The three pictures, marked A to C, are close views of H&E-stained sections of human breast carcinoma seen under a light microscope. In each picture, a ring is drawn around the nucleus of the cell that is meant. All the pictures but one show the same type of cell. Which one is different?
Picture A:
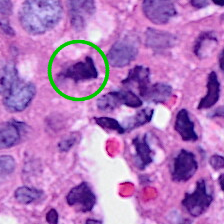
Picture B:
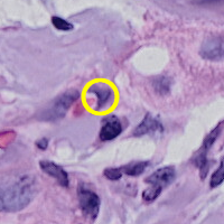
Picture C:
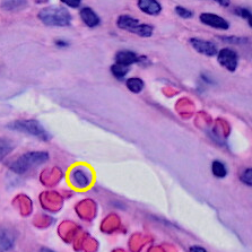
A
